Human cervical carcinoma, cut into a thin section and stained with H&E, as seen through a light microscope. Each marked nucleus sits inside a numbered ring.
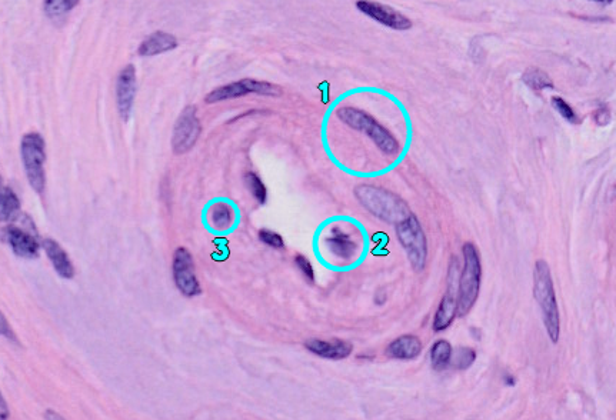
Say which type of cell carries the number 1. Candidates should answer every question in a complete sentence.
The cell pointed out as number 1 is a smooth muscle cell.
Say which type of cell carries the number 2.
The cell with the number 2 is an endothelial cell.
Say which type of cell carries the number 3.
Cell 3 in the field is a smooth muscle cell.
